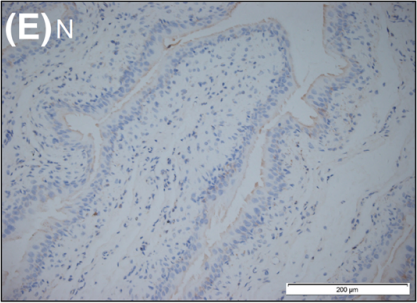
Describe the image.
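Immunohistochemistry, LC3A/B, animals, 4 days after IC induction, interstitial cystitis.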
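This is the urinary bladder, with narrow folds of mucosa facing slit-like lumina. The lining epithelium is a few cell layers thick with blue nuclei and almost no brown colour apart from a faint line at the surface, and below it lies loose connective tissue with scattered oval to spindle-shaped nuclei.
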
